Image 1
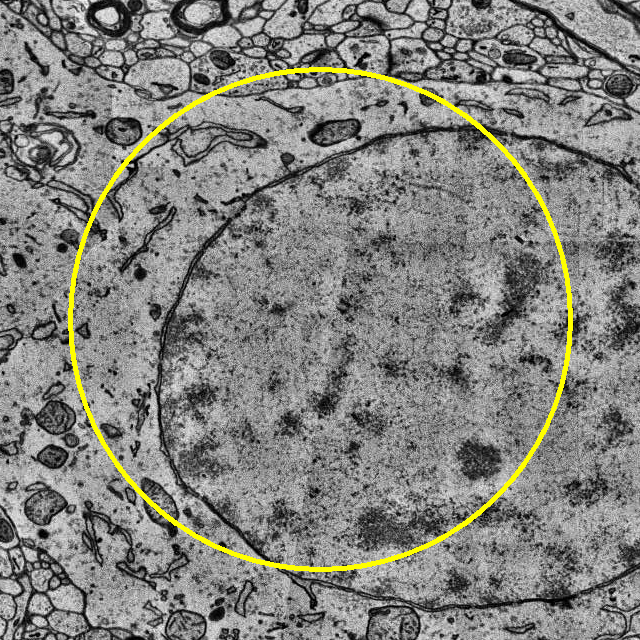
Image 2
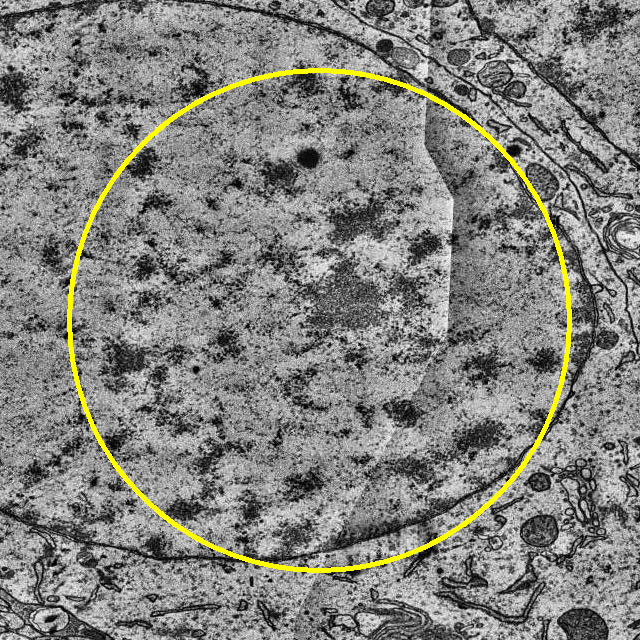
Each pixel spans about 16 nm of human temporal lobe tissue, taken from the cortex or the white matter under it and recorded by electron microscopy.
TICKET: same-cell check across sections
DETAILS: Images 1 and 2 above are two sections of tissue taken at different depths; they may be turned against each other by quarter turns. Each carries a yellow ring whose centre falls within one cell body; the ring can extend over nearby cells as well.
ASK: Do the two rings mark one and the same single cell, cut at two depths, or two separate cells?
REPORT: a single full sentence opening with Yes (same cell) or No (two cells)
No, two different cells are marked by the two rings.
